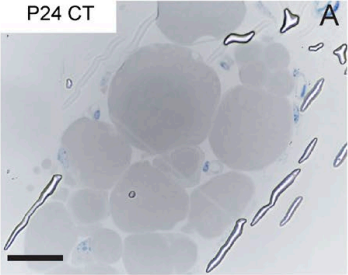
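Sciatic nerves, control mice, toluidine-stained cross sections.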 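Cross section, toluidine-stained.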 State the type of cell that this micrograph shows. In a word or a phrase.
mature epineurial adipocytes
